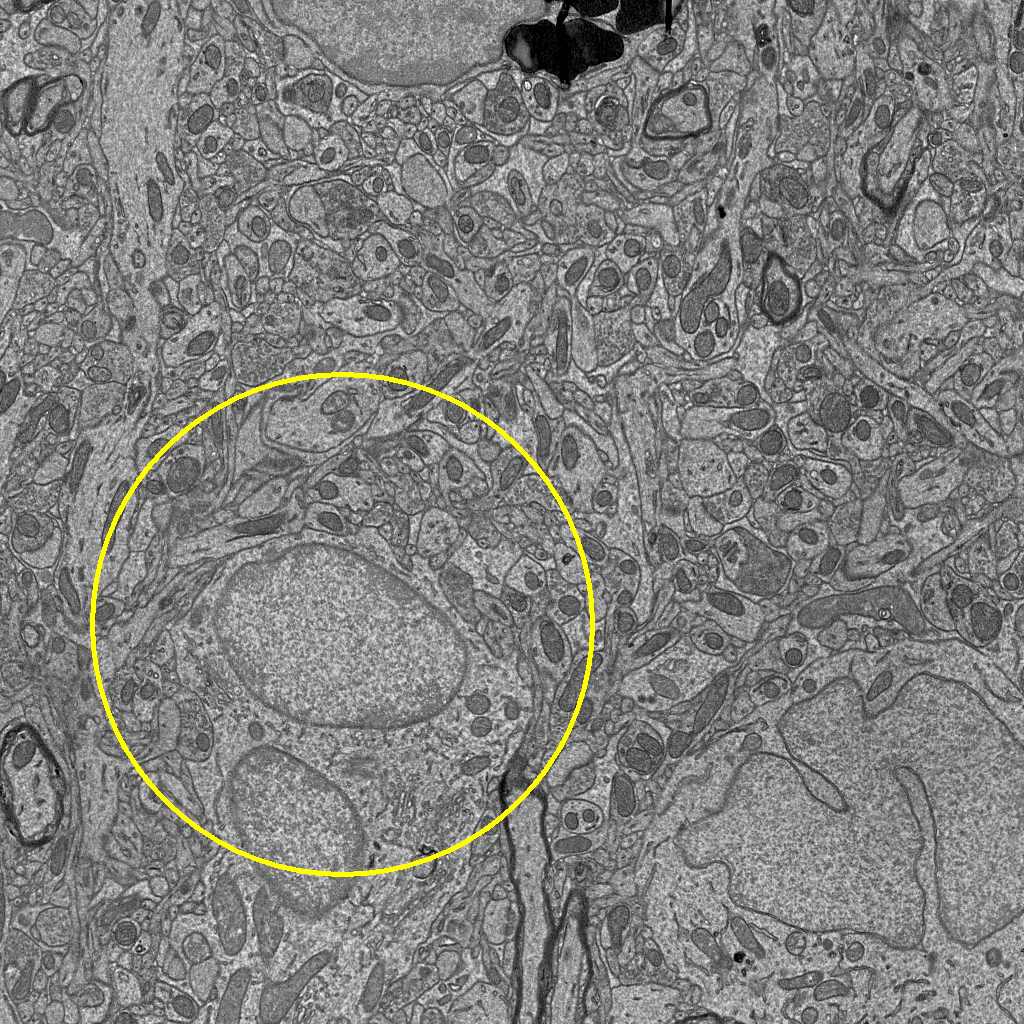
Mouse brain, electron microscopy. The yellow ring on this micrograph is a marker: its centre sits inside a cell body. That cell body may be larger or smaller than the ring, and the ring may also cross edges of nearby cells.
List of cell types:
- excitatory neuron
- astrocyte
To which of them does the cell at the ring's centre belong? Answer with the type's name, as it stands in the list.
astrocyte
